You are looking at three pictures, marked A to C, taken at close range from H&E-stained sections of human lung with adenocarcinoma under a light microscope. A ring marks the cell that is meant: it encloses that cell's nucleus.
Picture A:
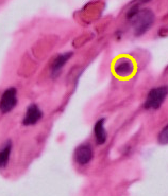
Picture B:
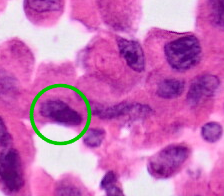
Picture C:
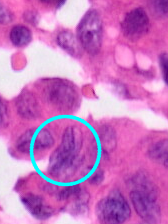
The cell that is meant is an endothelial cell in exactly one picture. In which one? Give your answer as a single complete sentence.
Picture A shows the endothelial cell.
